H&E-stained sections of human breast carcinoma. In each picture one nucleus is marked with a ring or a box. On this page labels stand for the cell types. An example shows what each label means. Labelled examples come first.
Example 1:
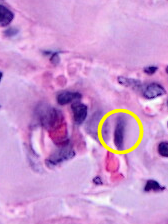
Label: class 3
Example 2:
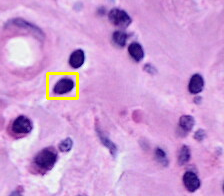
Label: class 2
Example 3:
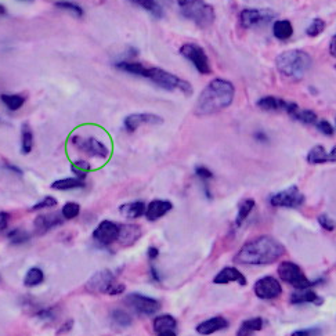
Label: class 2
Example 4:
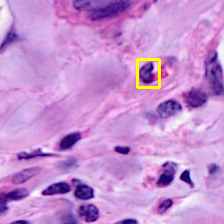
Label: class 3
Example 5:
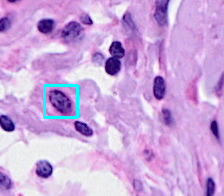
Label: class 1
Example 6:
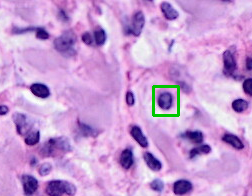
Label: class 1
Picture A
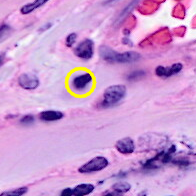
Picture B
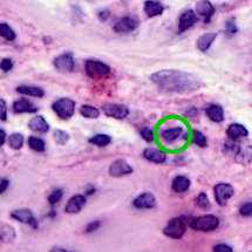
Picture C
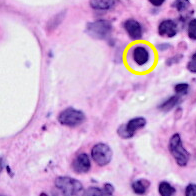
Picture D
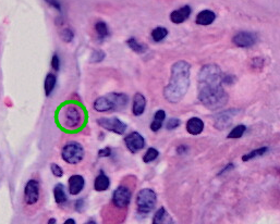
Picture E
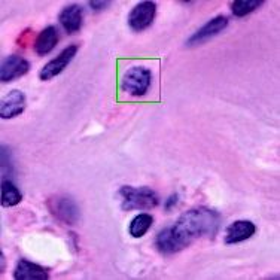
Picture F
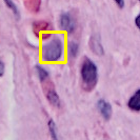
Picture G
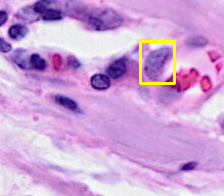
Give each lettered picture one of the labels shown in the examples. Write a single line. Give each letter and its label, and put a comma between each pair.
A class 2, B class 2, C class 2, D class 1, E class 1, F class 3, G class 3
